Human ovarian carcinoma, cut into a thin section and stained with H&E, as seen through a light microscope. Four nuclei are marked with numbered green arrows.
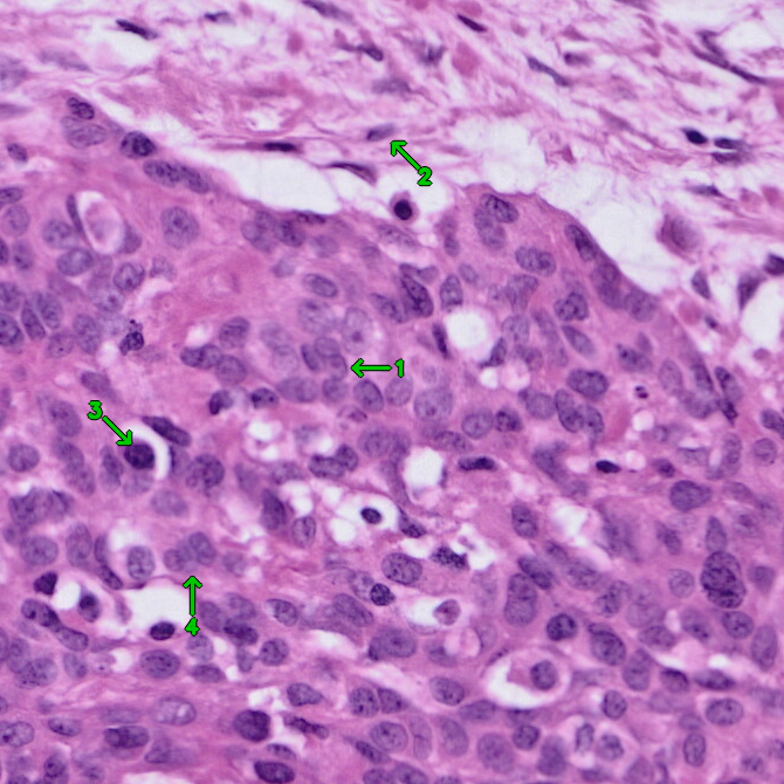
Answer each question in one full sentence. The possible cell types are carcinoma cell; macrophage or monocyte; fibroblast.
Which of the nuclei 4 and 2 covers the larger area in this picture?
Nucleus 4 is the larger one, covering about 4 times the area of nucleus 2.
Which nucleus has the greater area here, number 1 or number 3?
Of the two, number 3 is bigger and takes up about 2.5 times the area of number 1.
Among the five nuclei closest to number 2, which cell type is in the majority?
Of the five nuclei nearest to number 2, most belong to fibroblasts.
